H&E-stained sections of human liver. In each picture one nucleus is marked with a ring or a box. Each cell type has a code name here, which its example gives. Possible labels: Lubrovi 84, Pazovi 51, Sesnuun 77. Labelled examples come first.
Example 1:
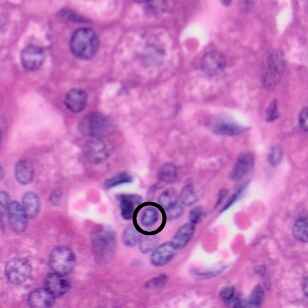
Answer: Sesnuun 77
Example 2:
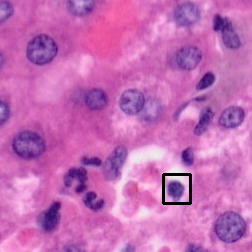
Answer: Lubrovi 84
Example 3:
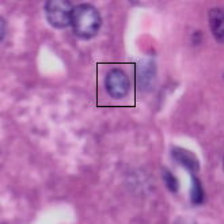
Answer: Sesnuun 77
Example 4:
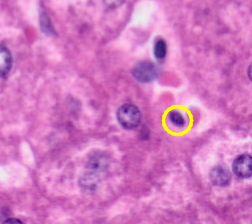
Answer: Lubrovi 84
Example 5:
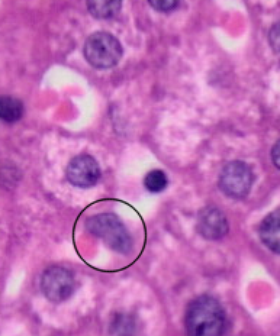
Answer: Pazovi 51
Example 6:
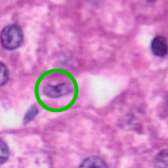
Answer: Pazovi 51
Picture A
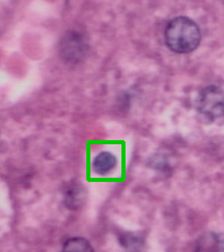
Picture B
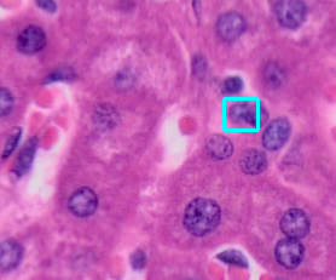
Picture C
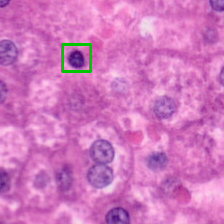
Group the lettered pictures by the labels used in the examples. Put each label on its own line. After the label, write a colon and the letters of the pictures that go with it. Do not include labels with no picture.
Lubrovi 84: A, C
Sesnuun 77: B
